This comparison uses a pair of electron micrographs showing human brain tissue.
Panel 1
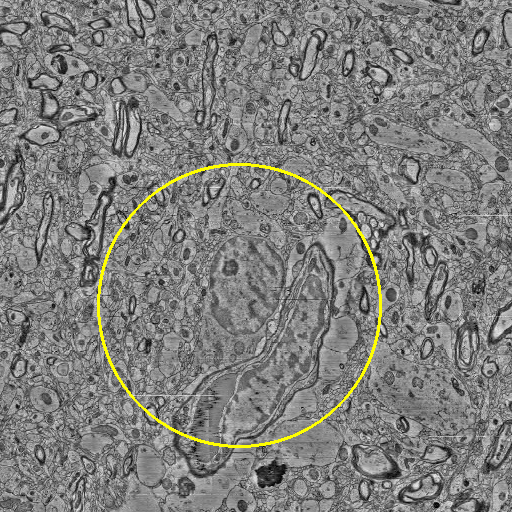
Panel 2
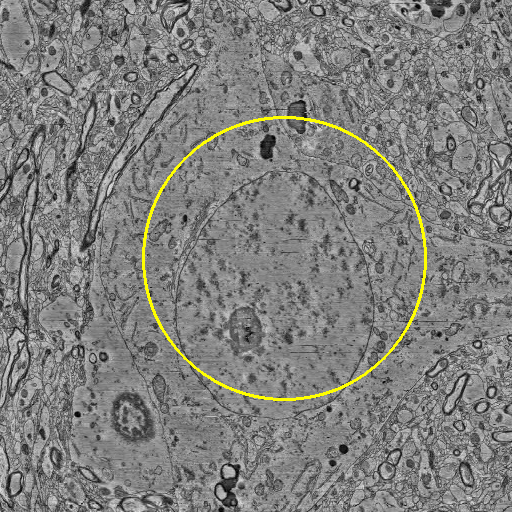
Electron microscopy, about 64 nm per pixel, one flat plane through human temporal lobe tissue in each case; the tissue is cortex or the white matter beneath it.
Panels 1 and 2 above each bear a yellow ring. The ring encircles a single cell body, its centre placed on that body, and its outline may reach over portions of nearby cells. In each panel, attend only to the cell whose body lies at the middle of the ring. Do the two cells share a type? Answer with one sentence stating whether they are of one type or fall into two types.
In Panel 1 and Panel 2, the cells at the centres of the rings fall into two types.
